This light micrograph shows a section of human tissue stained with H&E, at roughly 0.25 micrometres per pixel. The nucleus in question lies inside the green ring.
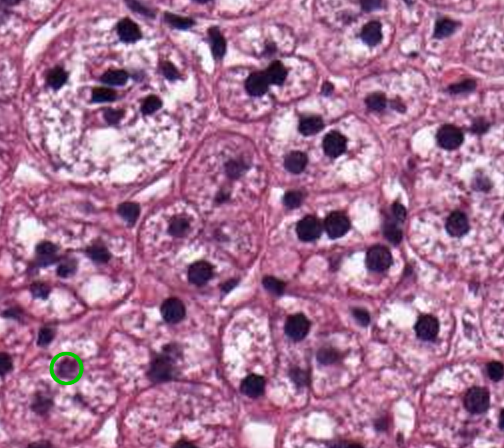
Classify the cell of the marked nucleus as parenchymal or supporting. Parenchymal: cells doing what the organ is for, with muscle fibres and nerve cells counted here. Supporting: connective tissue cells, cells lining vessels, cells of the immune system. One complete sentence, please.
Here the marked nucleus belongs to a parenchymal cell, that is, an adrenal cortical cell.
